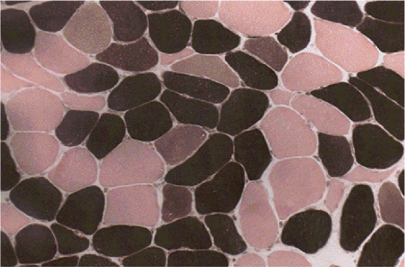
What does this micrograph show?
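Dark brown to black fibres lie intermixed with pale pink fibres and a few of intermediate grey-brown tone, forming a mosaic. The fibres are polygonal, closely packed and mostly of similar size. Narrow pale spaces separate the fibres, and dark and pale fibres occur in roughly comparable numbers across the field.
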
